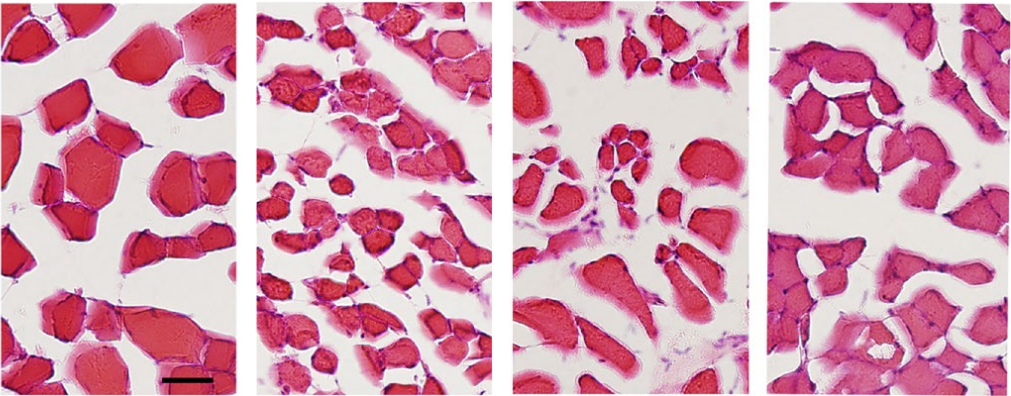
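Cross-sections of skeletal muscle with pink-red myofibers, thin purple nuclei at the fiber edges, and clear gaps between fibers. The second and third images show many small angular fibers mixed among larger ones, and the fourth shows mostly medium to large fibers.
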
